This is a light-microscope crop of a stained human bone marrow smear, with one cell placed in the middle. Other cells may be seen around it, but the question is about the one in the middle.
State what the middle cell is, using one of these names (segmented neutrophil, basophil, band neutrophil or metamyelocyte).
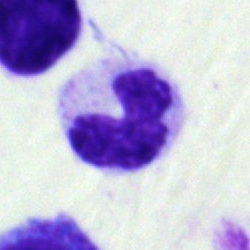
band neutrophil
